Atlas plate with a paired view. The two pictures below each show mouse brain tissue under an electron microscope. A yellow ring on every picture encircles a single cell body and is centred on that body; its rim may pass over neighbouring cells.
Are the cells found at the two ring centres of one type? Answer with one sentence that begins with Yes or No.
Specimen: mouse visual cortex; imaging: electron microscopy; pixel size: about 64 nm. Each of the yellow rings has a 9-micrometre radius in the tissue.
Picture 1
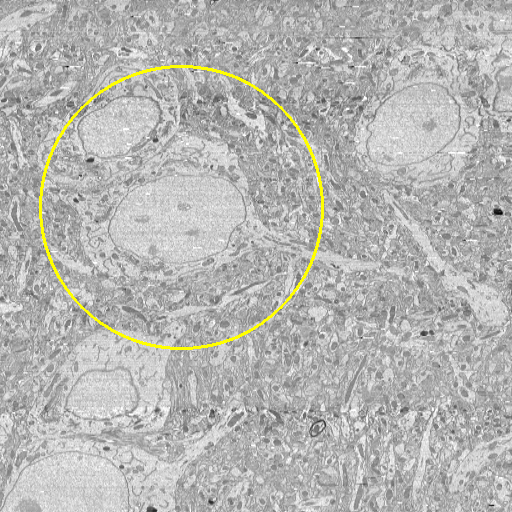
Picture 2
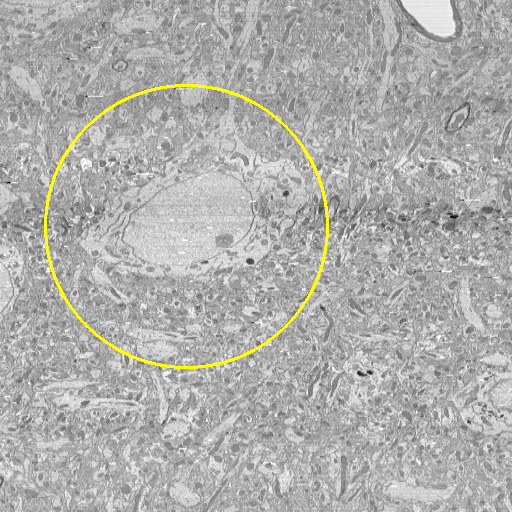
Yes, the two cells lying at the centres of the rings share a single type.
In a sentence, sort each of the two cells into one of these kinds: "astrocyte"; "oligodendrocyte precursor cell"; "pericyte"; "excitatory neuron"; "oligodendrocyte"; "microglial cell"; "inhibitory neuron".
Each of the two pictures has an excitatory neuron at the ring centre.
